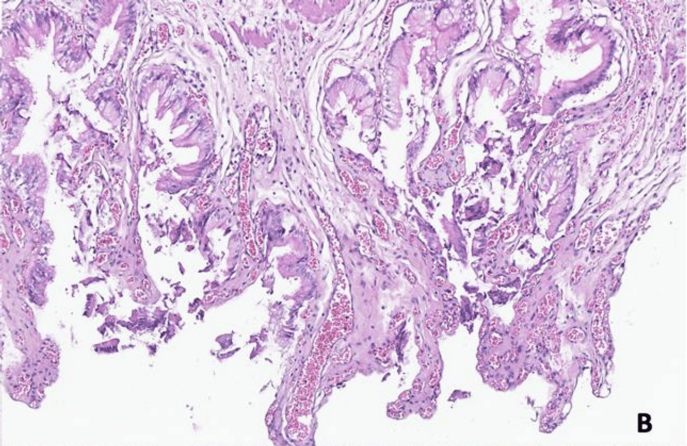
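Gallbladder mucosal folds are shown, each with a core of pink, loose connective tissue. The folds are lined in places by tall columnar epithelial cells. Detached strips and fragments of epithelium lie free in the lumen, and parts of the folds lack an epithelial lining. The capillaries within the fold cores are dilated and packed with red blood cells.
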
